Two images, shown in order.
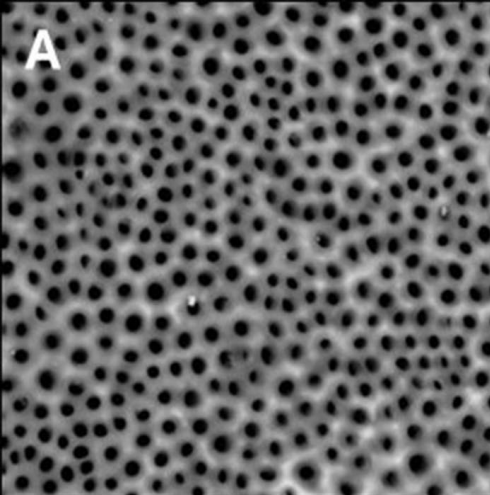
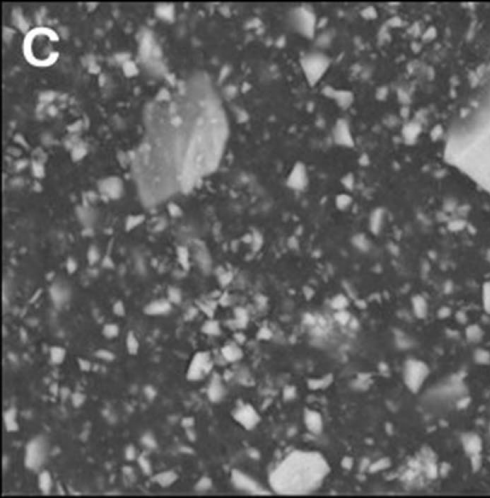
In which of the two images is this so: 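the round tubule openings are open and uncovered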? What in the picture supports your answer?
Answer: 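Second image: the surface is covered by angular particles and no round openings are seen. First image: many round dark openings lie open across the surface. That points to this answer: the first image.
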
